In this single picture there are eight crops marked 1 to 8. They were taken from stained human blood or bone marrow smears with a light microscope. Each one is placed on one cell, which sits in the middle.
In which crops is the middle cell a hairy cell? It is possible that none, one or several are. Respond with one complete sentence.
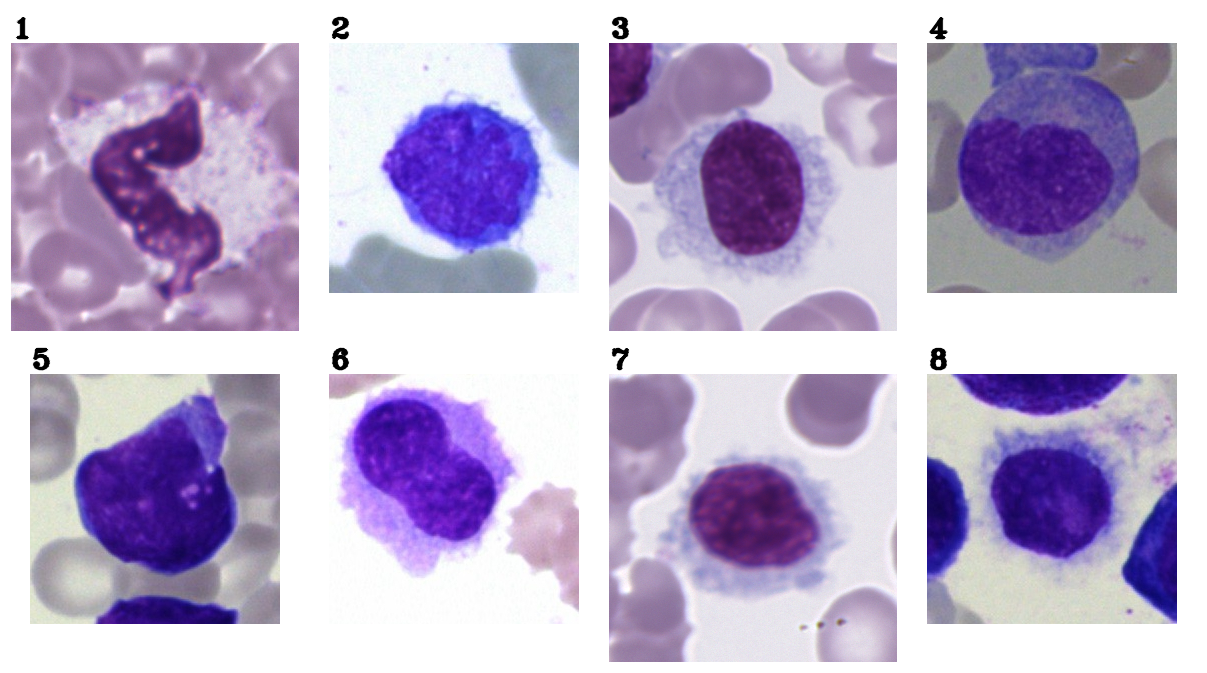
The crops marked 3, 6, 7 and 8 contain hairy cells at the centre.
